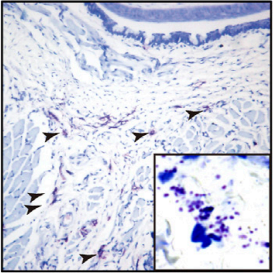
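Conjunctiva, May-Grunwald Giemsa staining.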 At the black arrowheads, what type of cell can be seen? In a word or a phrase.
degranulated mast cells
